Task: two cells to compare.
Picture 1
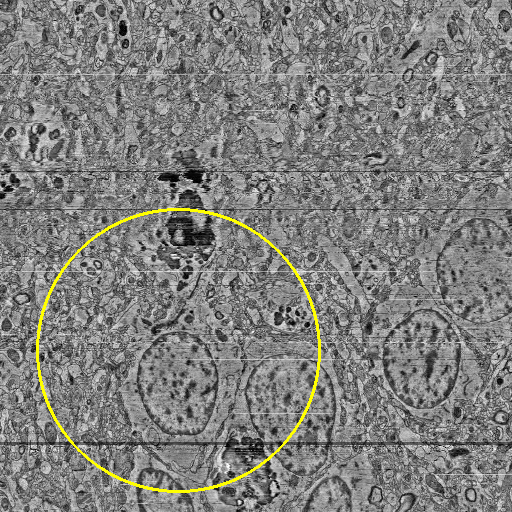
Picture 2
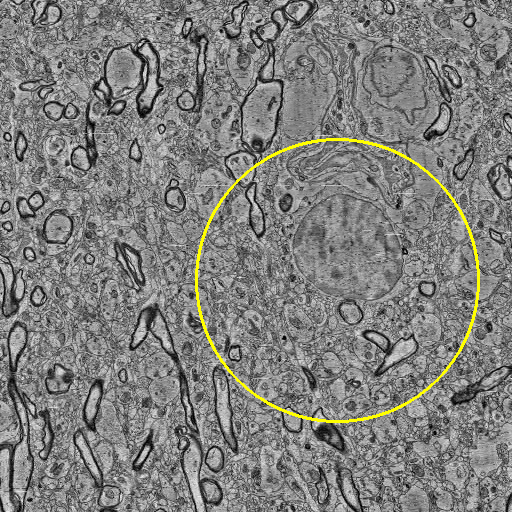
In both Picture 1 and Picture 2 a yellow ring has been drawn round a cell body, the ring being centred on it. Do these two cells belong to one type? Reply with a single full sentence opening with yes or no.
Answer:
No, the two cells at the ring centres in Picture 1 and Picture 2 are of two types.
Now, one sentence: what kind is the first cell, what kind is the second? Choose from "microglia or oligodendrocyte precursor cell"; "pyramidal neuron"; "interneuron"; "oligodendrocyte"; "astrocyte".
The first picture has an astrocyte at its ring centre, and the second has an oligodendrocyte.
